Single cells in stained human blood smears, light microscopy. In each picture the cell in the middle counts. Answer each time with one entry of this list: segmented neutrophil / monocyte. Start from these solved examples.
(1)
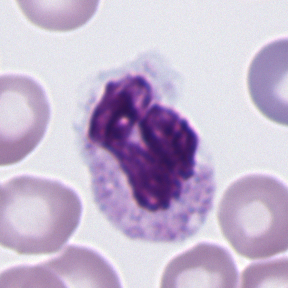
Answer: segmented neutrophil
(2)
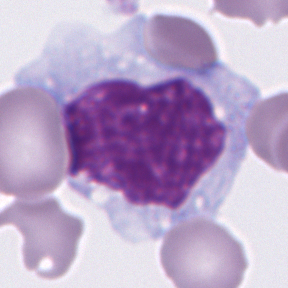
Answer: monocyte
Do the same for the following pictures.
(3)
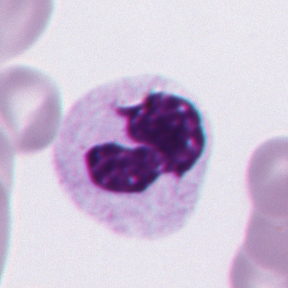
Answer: segmented neutrophil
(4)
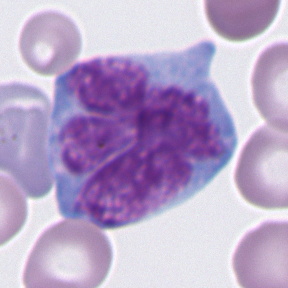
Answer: monocyte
